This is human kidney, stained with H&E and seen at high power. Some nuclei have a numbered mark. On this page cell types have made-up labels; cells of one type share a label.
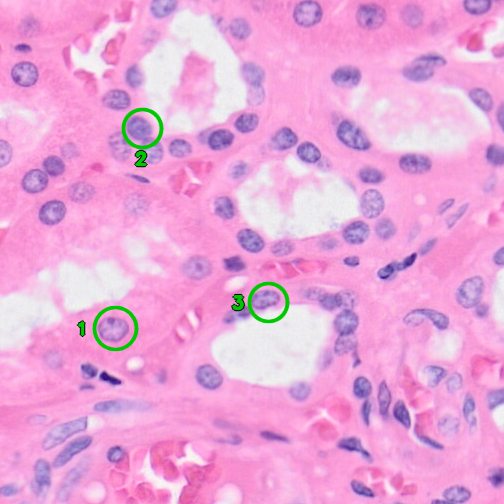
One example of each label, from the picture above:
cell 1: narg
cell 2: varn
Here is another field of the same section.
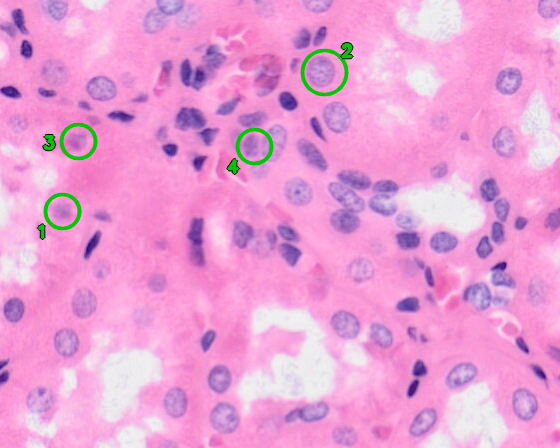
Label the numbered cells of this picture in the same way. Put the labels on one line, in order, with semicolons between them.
narg; narg; narg; varn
